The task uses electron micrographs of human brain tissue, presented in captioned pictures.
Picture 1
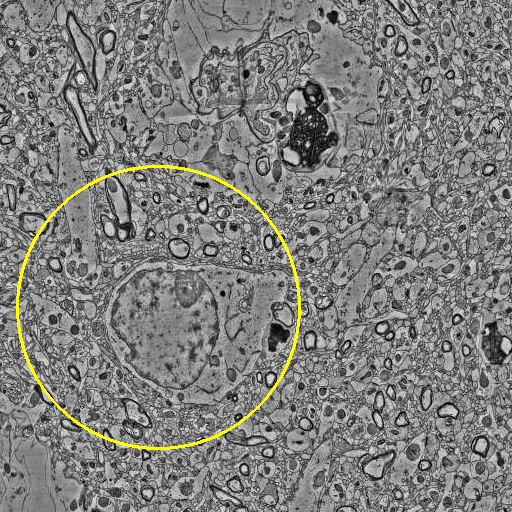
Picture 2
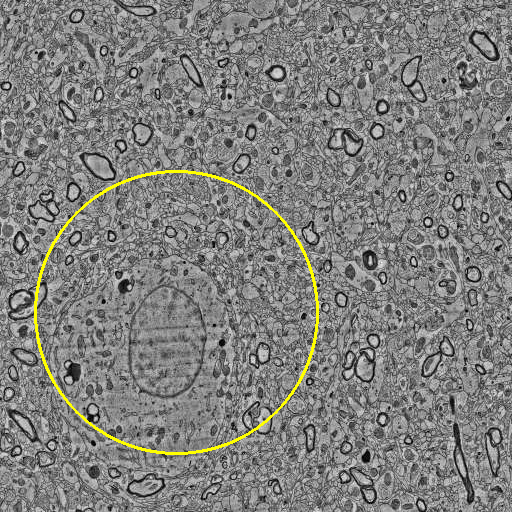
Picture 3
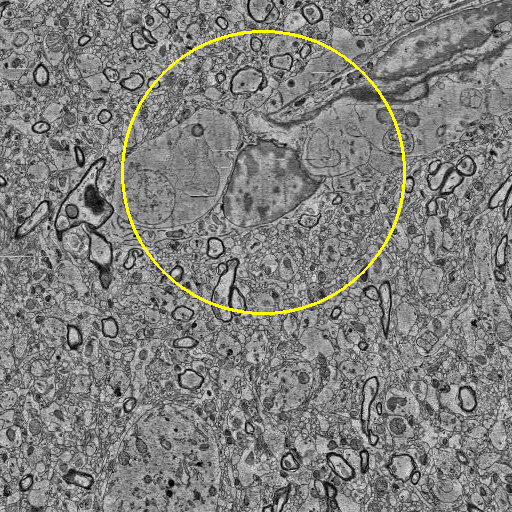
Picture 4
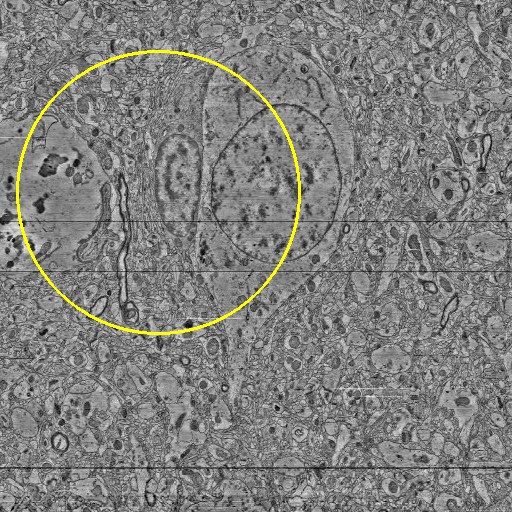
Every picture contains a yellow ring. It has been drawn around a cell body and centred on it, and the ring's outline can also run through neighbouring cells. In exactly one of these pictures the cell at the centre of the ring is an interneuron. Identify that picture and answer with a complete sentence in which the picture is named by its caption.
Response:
The ring in Picture 1 is centred on that kind of cell.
